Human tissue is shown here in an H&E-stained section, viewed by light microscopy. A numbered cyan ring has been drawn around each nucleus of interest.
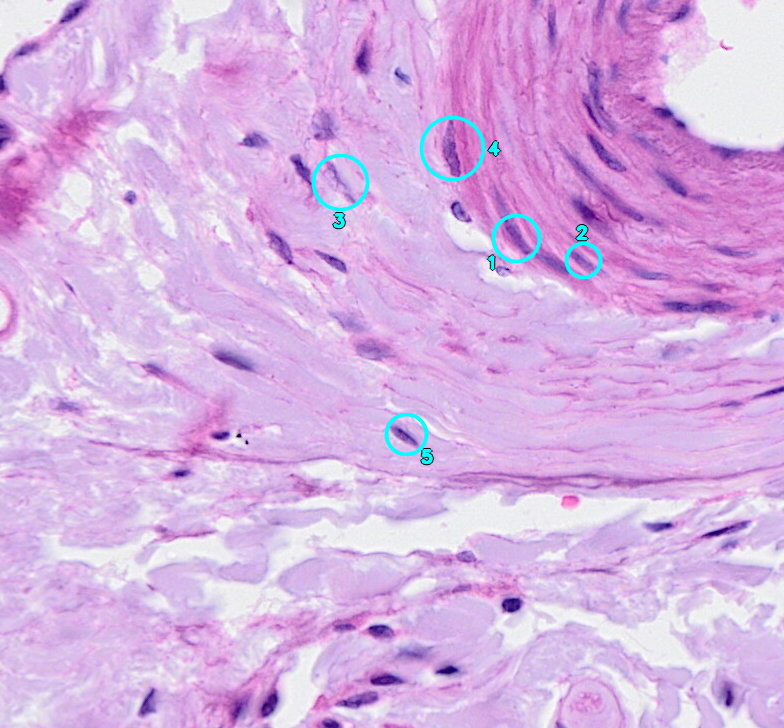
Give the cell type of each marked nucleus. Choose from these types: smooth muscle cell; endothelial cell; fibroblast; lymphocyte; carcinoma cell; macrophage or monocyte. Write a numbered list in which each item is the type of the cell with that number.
1. smooth muscle cell
2. smooth muscle cell
3. fibroblast
4. smooth muscle cell
5. fibroblast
